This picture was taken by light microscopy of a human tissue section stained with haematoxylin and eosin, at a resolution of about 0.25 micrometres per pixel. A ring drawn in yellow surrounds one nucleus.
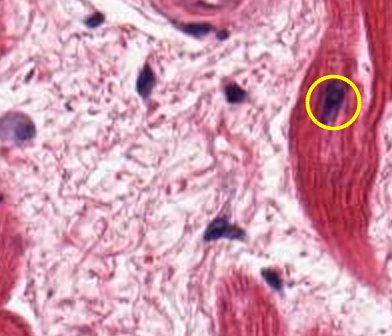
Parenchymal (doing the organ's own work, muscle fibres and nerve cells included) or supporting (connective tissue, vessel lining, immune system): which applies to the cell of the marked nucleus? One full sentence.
It is the nucleus of a cardiomyocyte, a parenchymal cell, that is marked.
